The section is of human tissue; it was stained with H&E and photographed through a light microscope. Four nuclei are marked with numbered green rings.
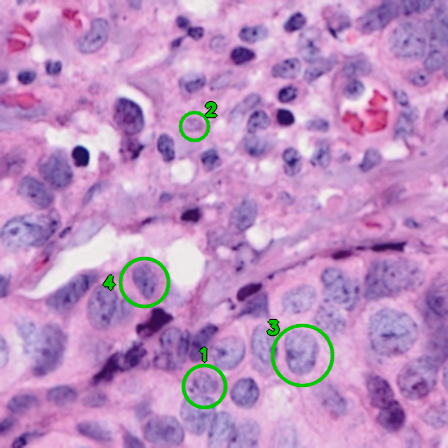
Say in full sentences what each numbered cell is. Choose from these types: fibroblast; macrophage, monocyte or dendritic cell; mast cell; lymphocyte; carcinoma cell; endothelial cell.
Cell 1 is a carcinoma cell, cell 2 is a macrophage, monocyte or dendritic cell, cell 3 is a carcinoma cell and cell 4 is a carcinoma cell.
